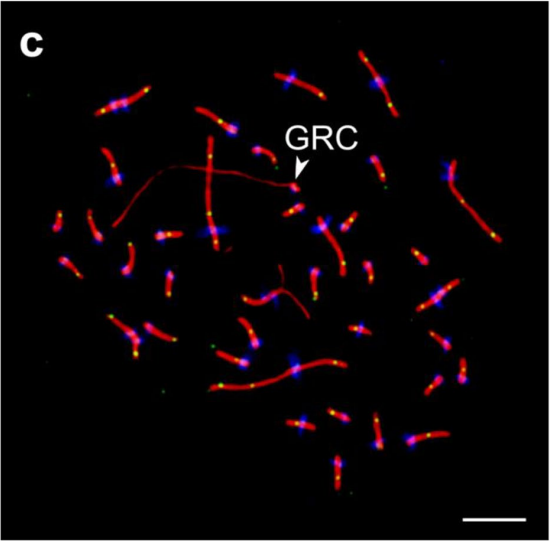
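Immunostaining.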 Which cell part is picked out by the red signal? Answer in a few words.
Synaptonemal complex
